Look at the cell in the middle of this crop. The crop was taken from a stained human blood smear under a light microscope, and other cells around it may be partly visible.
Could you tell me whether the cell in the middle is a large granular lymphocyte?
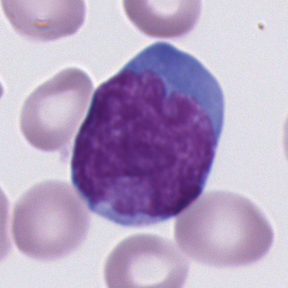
no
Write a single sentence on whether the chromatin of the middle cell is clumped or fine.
Chromatin in the nucleus here is coarsely clumped.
